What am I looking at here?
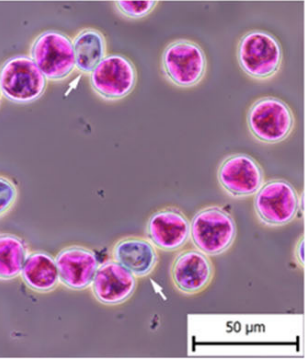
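Scattered among them are a few grains that are pale gray-blue and look largely empty. These pale grains keep their round shape and wall but lack the dense stained contents of their neighbours.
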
